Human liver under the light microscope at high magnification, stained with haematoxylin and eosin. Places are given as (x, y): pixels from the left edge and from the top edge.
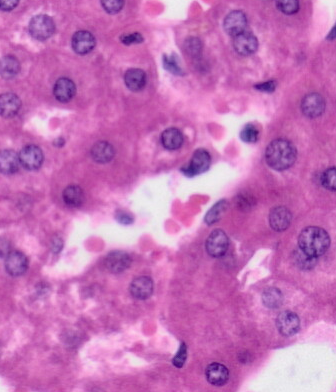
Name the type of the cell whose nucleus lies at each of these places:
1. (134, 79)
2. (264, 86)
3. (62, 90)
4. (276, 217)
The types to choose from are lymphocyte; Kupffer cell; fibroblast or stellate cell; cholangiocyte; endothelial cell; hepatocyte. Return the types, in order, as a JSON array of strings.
["hepatocyte", "fibroblast or stellate cell", "hepatocyte", "hepatocyte"]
